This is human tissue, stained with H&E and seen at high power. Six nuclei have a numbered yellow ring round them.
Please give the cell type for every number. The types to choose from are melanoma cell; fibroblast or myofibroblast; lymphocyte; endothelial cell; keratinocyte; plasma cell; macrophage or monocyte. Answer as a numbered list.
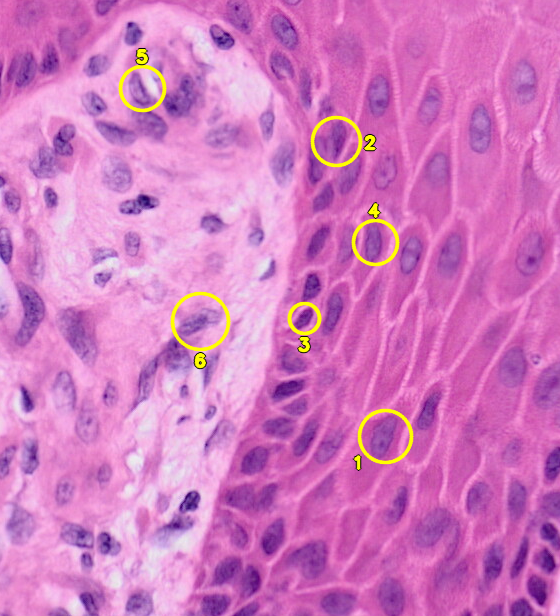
1. keratinocyte
2. keratinocyte
3. keratinocyte
4. keratinocyte
5. endothelial cell
6. fibroblast or myofibroblast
